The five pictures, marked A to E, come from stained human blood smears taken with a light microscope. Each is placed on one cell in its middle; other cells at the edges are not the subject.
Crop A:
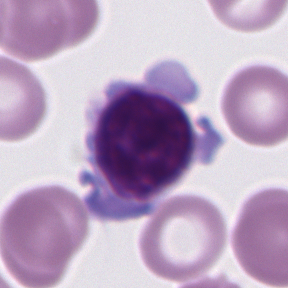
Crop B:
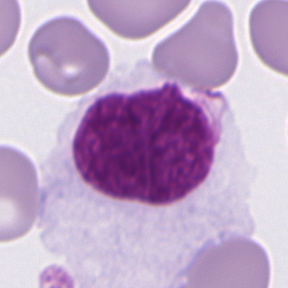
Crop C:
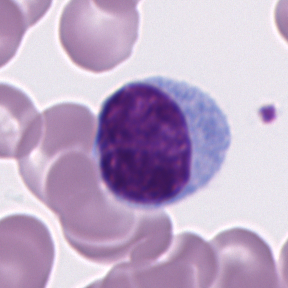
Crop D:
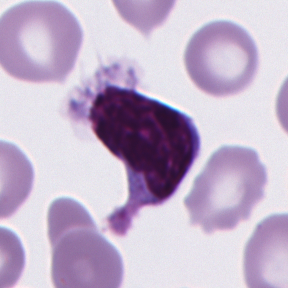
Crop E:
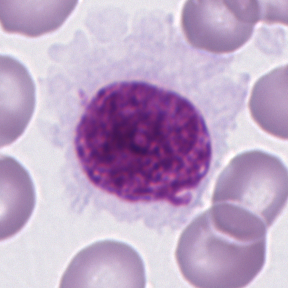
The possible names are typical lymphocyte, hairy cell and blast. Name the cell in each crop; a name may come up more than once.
A: typical lymphocyte
B: hairy cell
C: typical lymphocyte
D: blast
E: hairy cell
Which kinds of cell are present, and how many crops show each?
typical lymphocyte: 2
hairy cell: 2
blast: 1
